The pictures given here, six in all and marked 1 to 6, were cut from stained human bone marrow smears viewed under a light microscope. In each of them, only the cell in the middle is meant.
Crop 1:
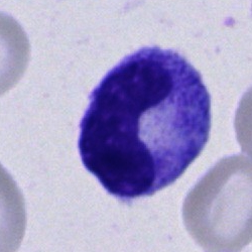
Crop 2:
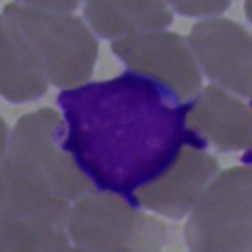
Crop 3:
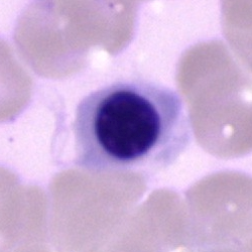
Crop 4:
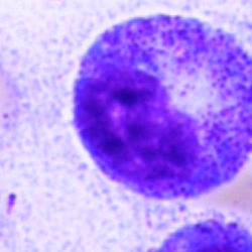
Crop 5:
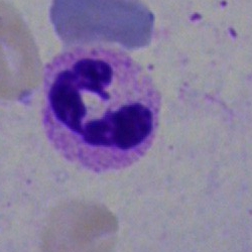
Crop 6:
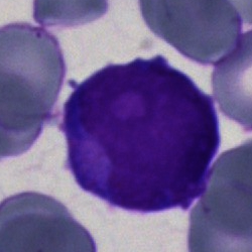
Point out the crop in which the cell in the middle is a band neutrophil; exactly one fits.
1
